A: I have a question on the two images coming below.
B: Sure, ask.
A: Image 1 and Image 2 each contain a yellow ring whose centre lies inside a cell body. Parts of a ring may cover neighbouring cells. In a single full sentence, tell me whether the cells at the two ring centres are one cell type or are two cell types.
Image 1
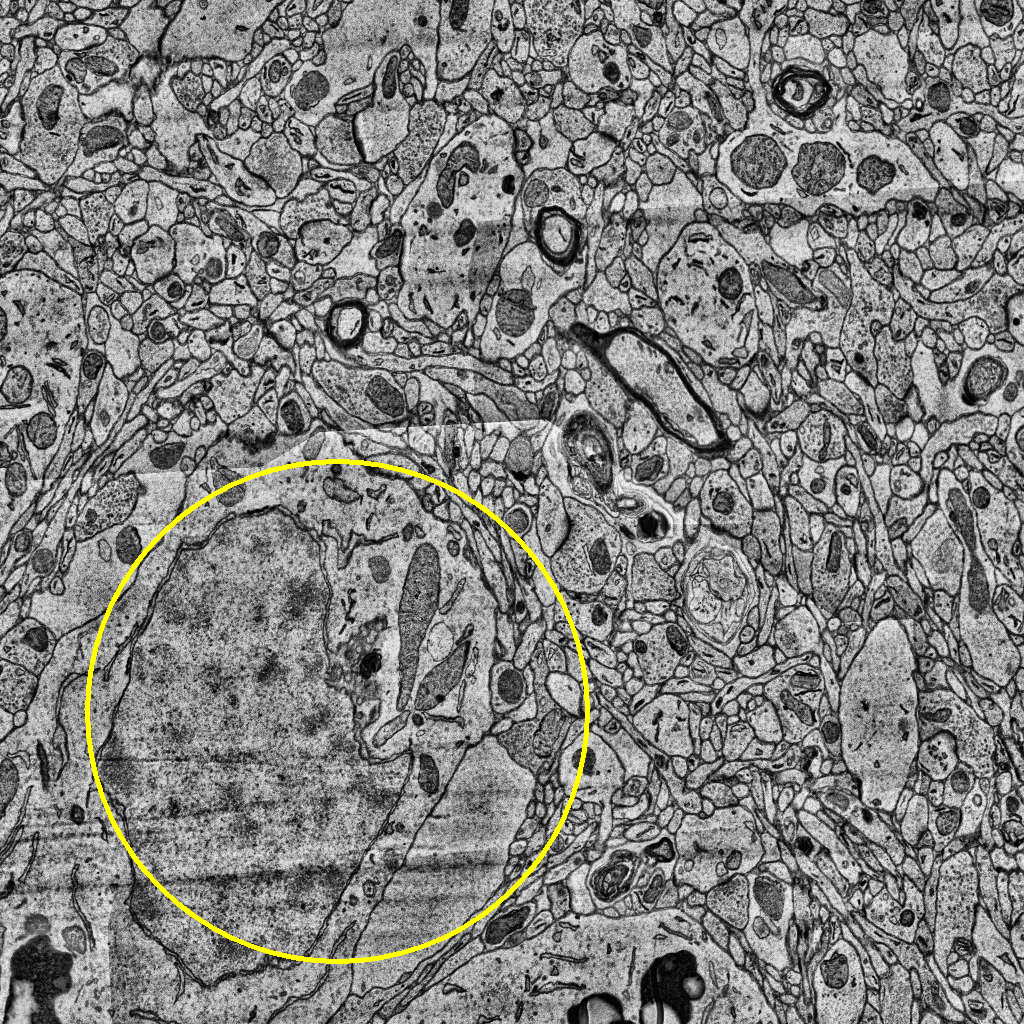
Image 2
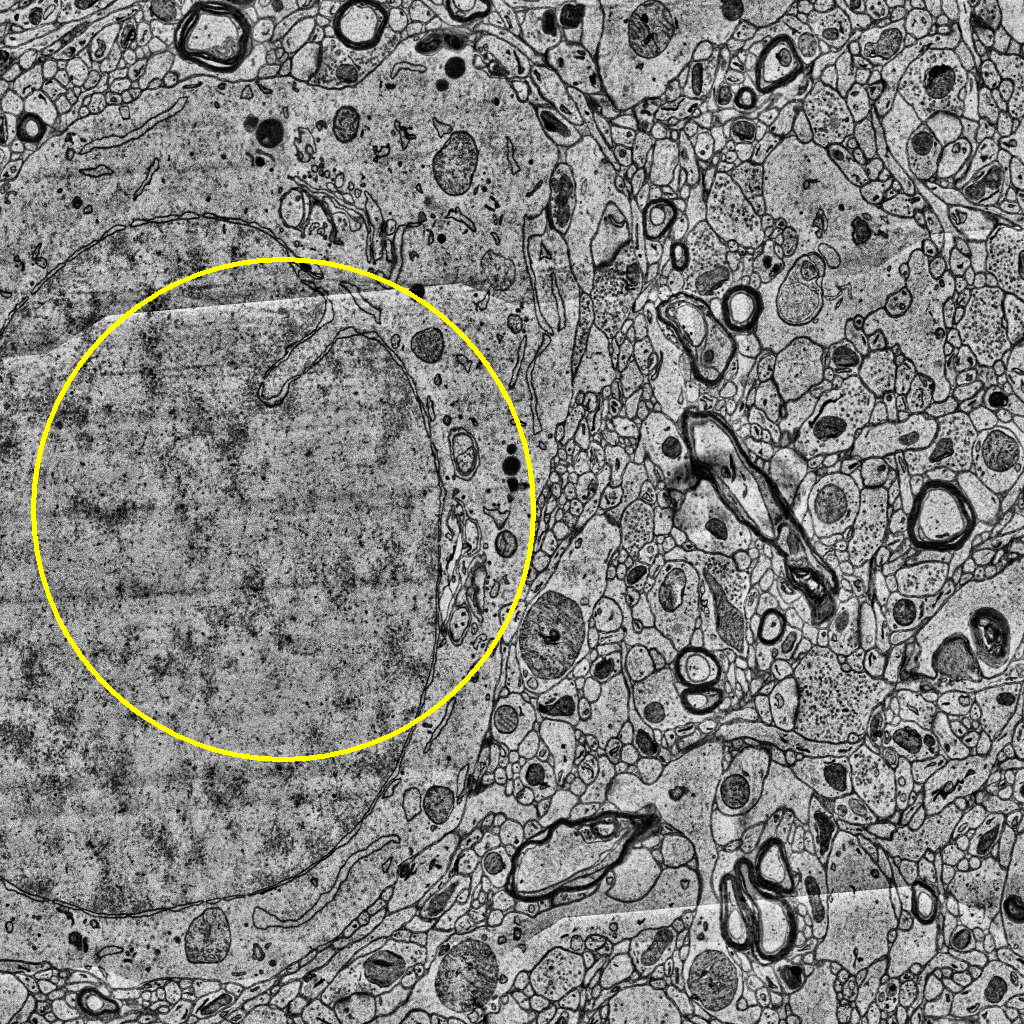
As for the ring-centre cells, the one in Image 1 and the one in Image 2 are one cell type.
